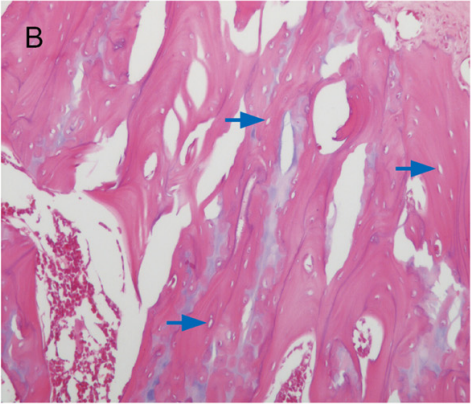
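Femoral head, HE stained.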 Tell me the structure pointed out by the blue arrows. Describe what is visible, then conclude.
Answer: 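Empty bone lacuna. Small spaces within the pink bone matrix. The spaces at the arrows hold no dark nucleus.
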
